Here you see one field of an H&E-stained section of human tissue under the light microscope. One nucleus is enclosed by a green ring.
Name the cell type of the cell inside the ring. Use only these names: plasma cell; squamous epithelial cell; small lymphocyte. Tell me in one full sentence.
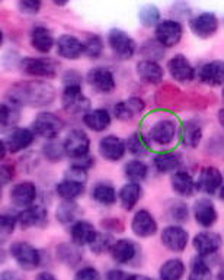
The category to which the cell inside the ring belongs is that of a small lymphocyte.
